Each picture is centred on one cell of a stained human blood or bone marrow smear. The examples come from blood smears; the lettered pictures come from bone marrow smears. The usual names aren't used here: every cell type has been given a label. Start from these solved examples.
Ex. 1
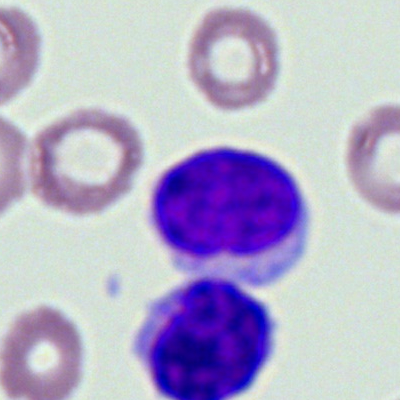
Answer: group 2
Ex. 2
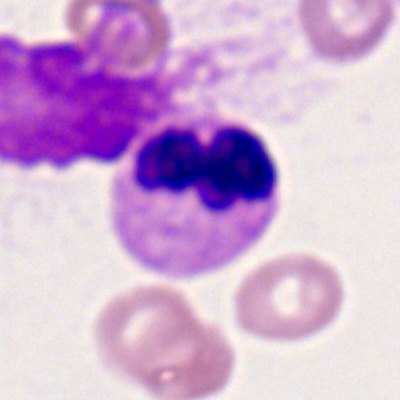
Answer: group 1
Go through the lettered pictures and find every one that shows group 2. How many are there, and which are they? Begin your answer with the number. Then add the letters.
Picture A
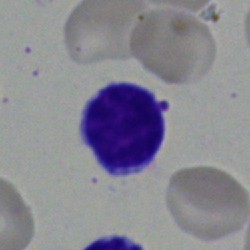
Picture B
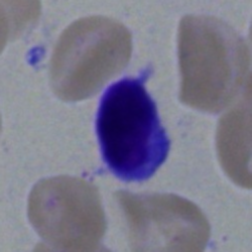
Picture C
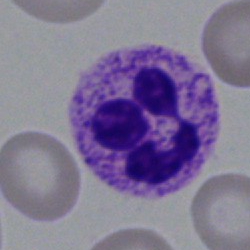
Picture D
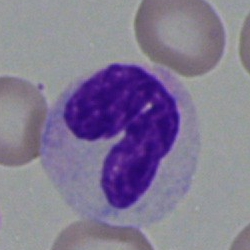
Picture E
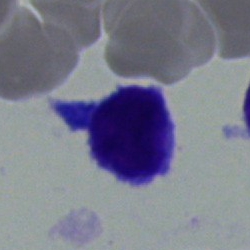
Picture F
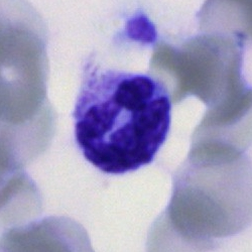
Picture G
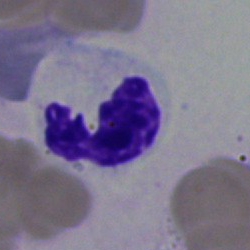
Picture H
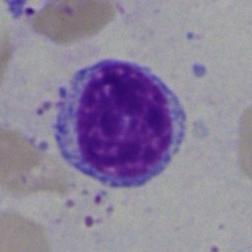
4, namely A, B, E, H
